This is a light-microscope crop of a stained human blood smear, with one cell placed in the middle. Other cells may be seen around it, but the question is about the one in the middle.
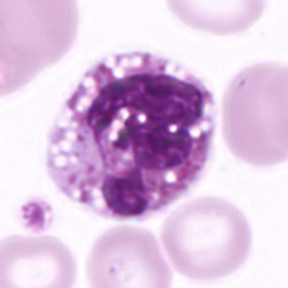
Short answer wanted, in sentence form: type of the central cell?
The centrally positioned cell in the crop represents an eosinophil.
